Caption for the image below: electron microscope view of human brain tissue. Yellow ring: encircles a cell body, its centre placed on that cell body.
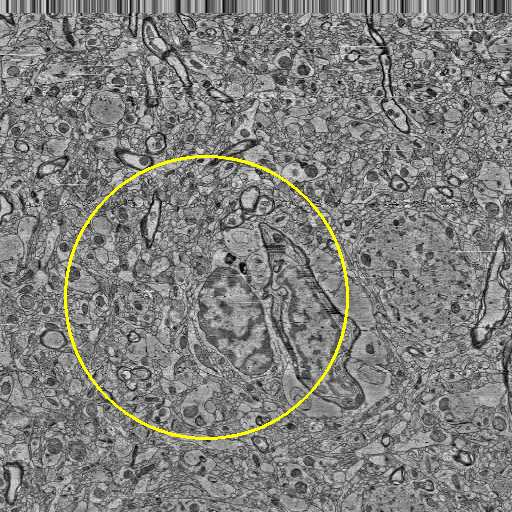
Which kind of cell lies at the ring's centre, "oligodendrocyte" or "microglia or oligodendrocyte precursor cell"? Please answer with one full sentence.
The picture shows a microglial cell or oligodendrocyte precursor cell at the centre of the yellow ring.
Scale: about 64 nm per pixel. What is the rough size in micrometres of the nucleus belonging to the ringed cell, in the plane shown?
Approximately 6 by 4 micrometers in this plane.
